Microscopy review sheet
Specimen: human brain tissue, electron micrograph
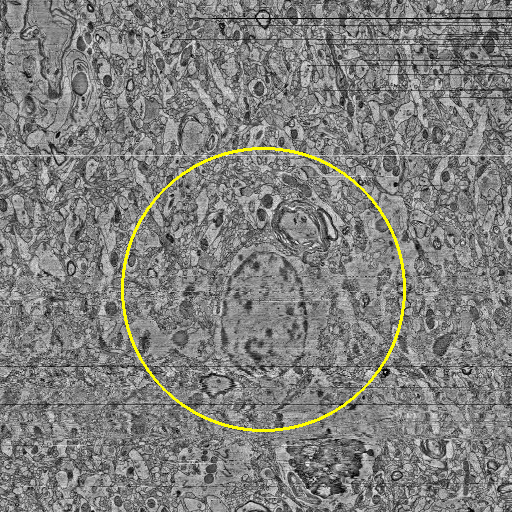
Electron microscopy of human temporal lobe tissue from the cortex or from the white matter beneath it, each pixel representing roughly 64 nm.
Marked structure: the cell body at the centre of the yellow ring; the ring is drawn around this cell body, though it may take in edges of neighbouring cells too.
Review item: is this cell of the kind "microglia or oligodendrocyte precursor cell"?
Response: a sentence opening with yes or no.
No, this cell is of another kind.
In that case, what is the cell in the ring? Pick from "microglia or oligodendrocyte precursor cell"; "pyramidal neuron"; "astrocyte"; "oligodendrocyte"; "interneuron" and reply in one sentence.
The ring holds an astrocyte at its centre.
